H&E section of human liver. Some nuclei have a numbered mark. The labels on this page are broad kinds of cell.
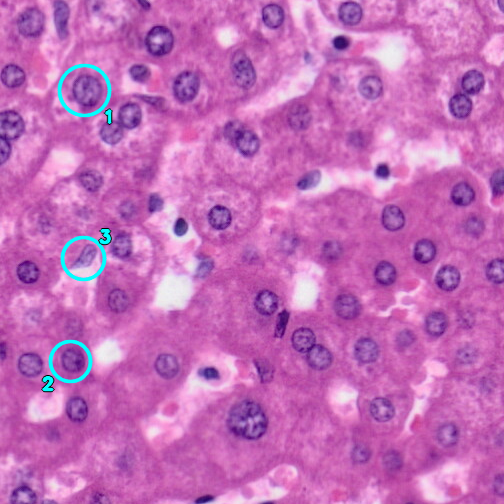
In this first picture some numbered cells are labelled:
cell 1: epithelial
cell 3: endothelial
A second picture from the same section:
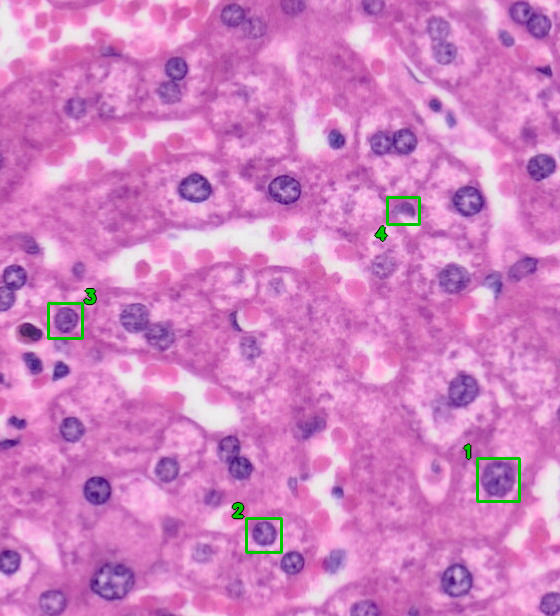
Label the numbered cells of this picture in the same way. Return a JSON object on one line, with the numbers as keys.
{"1": "epithelial", "2": "epithelial", "3": "epithelial", "4": "endothelial"}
